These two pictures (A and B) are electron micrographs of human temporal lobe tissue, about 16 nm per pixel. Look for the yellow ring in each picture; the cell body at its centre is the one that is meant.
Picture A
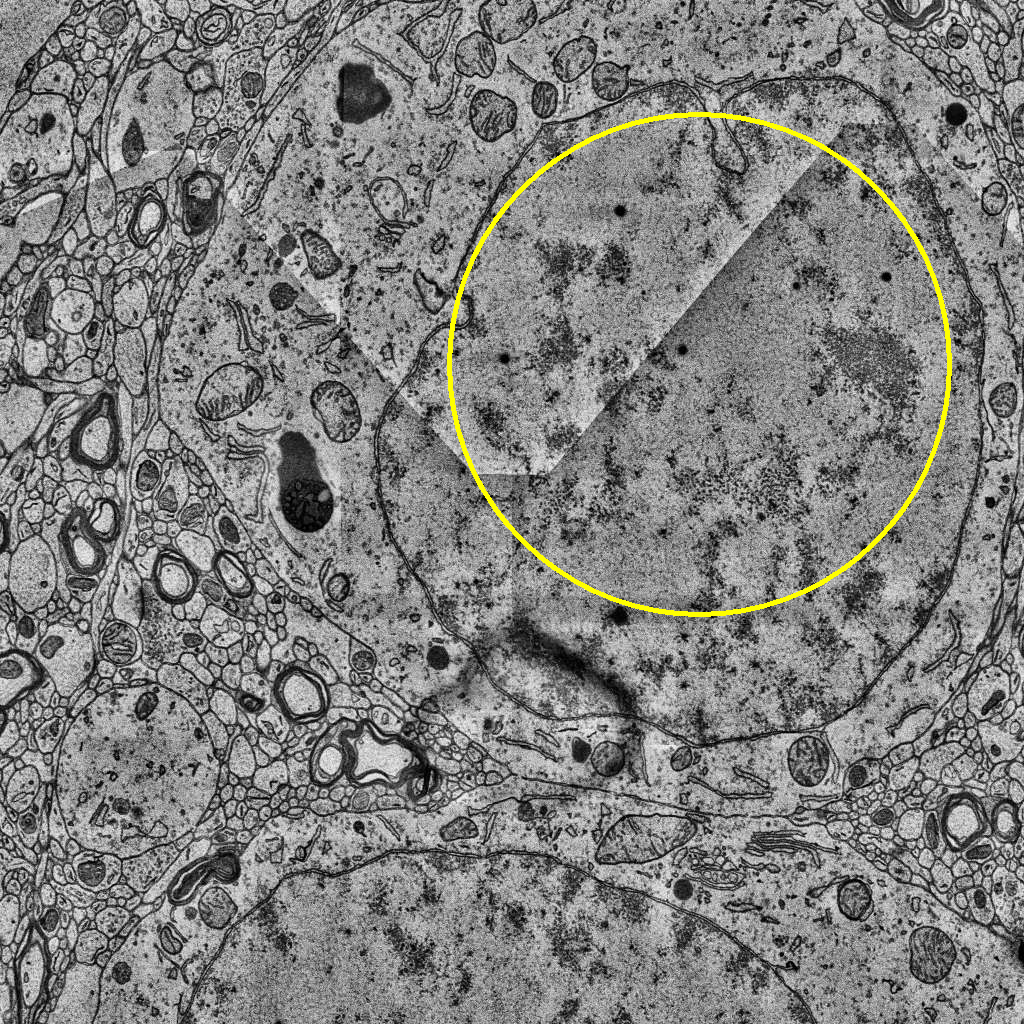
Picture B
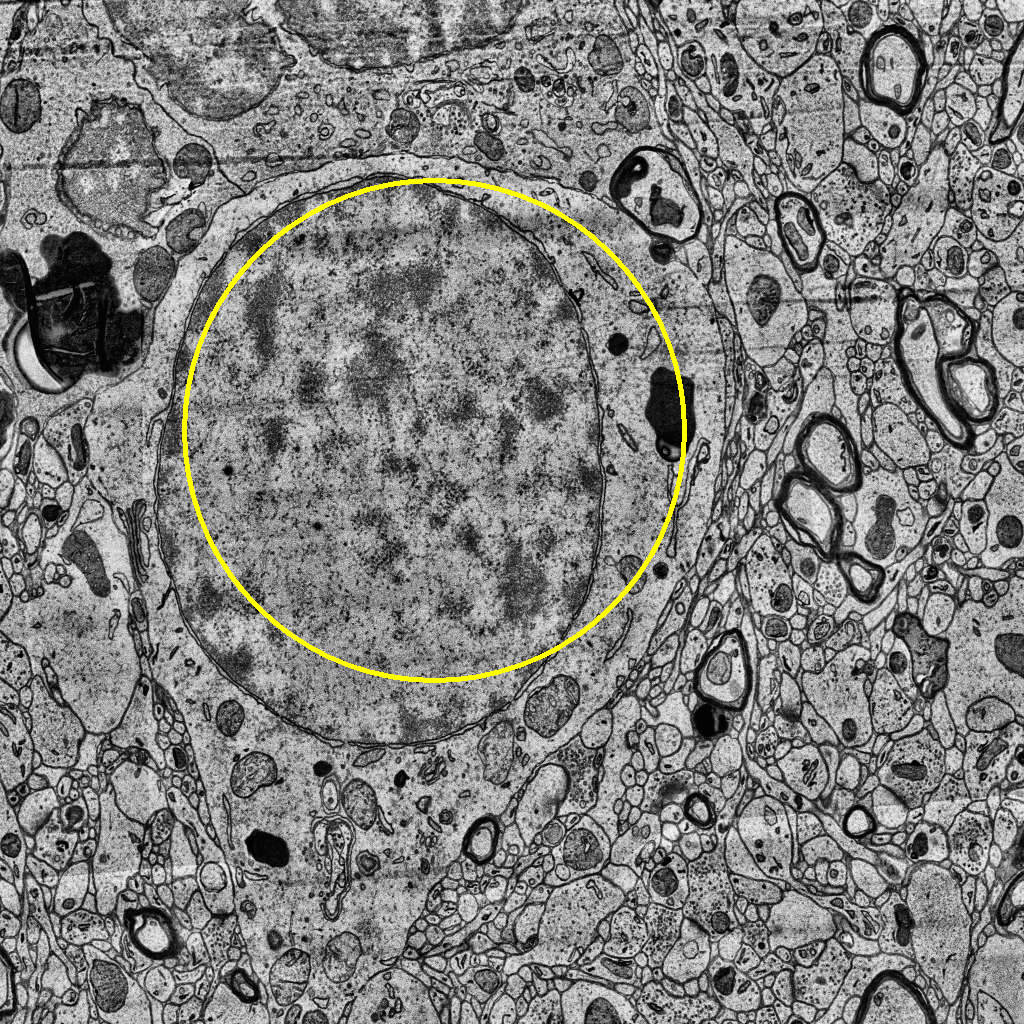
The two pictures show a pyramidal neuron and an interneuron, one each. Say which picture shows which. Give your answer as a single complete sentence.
It is picture A that shows a pyramidal neuron, and picture B that shows an interneuron.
